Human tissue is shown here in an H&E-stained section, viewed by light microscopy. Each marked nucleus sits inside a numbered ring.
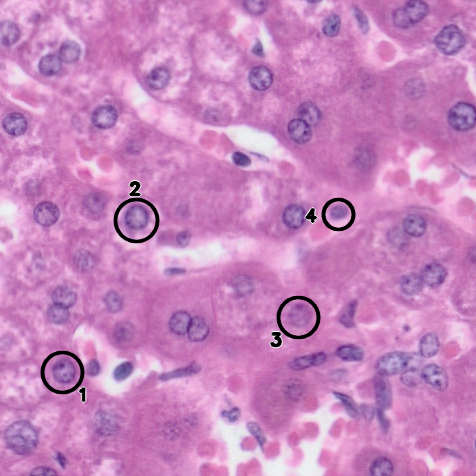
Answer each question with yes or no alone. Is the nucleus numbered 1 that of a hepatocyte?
yes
